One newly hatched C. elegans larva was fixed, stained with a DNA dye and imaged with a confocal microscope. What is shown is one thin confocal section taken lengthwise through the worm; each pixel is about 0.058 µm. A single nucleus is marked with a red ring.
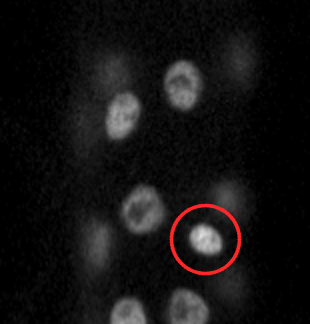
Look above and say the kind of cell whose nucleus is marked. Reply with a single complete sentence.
This nucleus is from a neuron.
